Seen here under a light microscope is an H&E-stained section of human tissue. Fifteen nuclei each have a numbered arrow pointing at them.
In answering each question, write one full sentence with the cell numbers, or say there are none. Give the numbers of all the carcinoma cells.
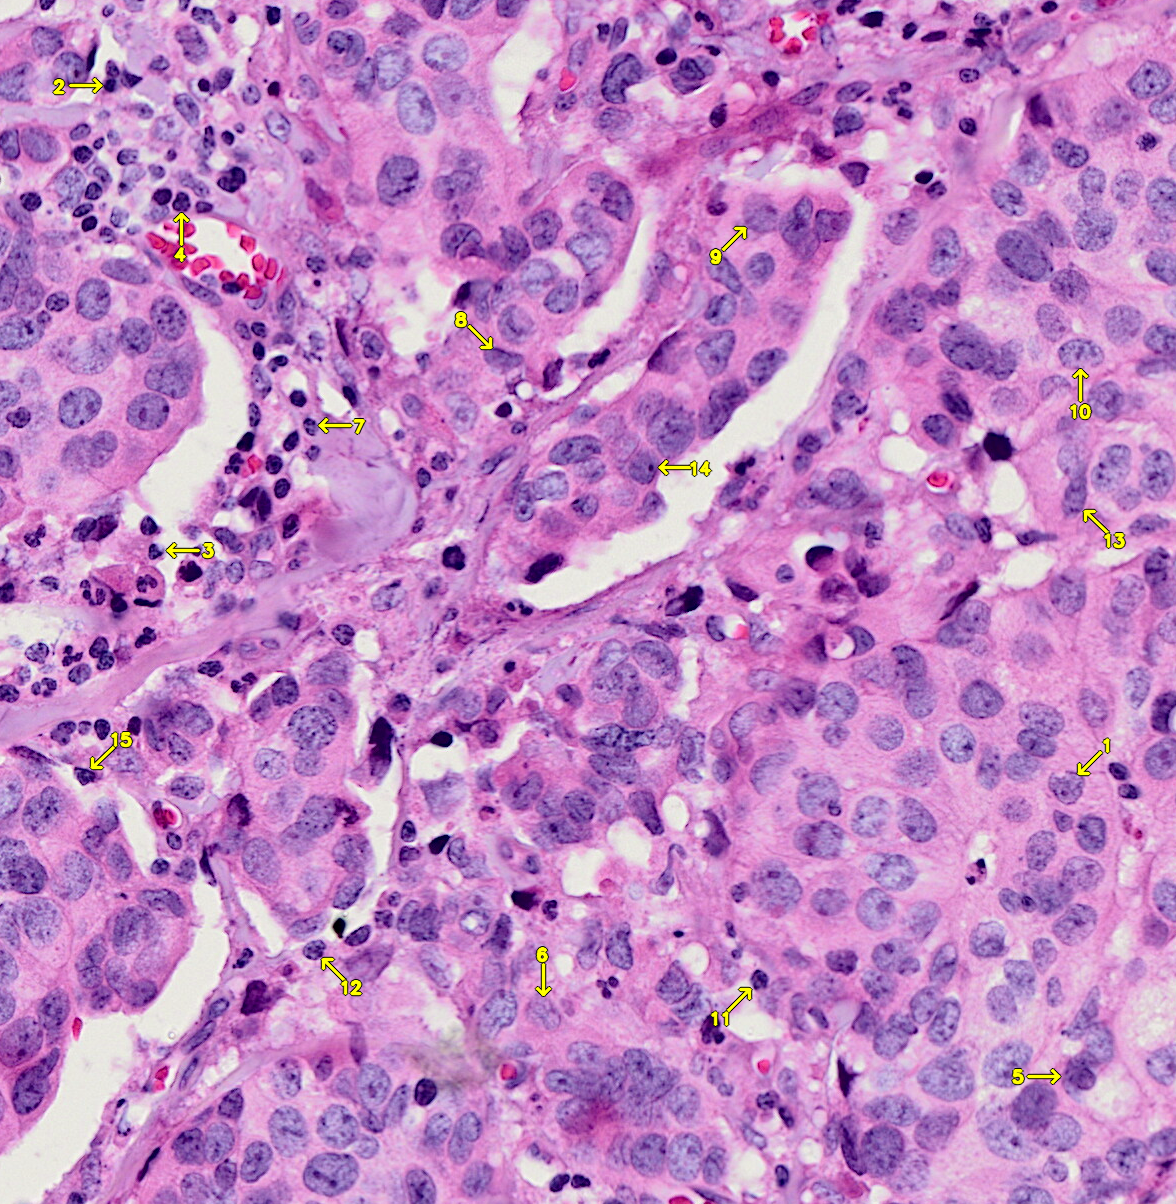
The cells with the number labels 1, 5, 6, 8, 9, 10, 13 and 14 are carcinoma cells.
